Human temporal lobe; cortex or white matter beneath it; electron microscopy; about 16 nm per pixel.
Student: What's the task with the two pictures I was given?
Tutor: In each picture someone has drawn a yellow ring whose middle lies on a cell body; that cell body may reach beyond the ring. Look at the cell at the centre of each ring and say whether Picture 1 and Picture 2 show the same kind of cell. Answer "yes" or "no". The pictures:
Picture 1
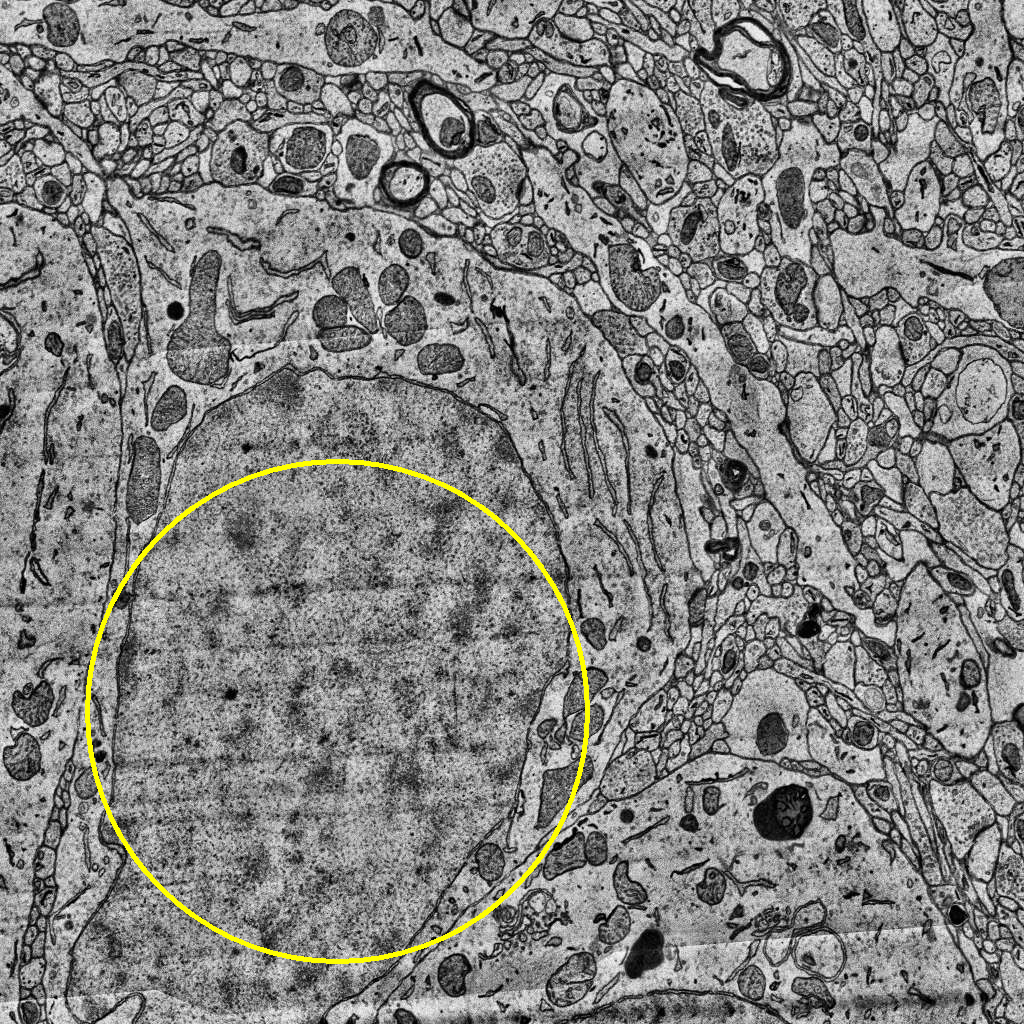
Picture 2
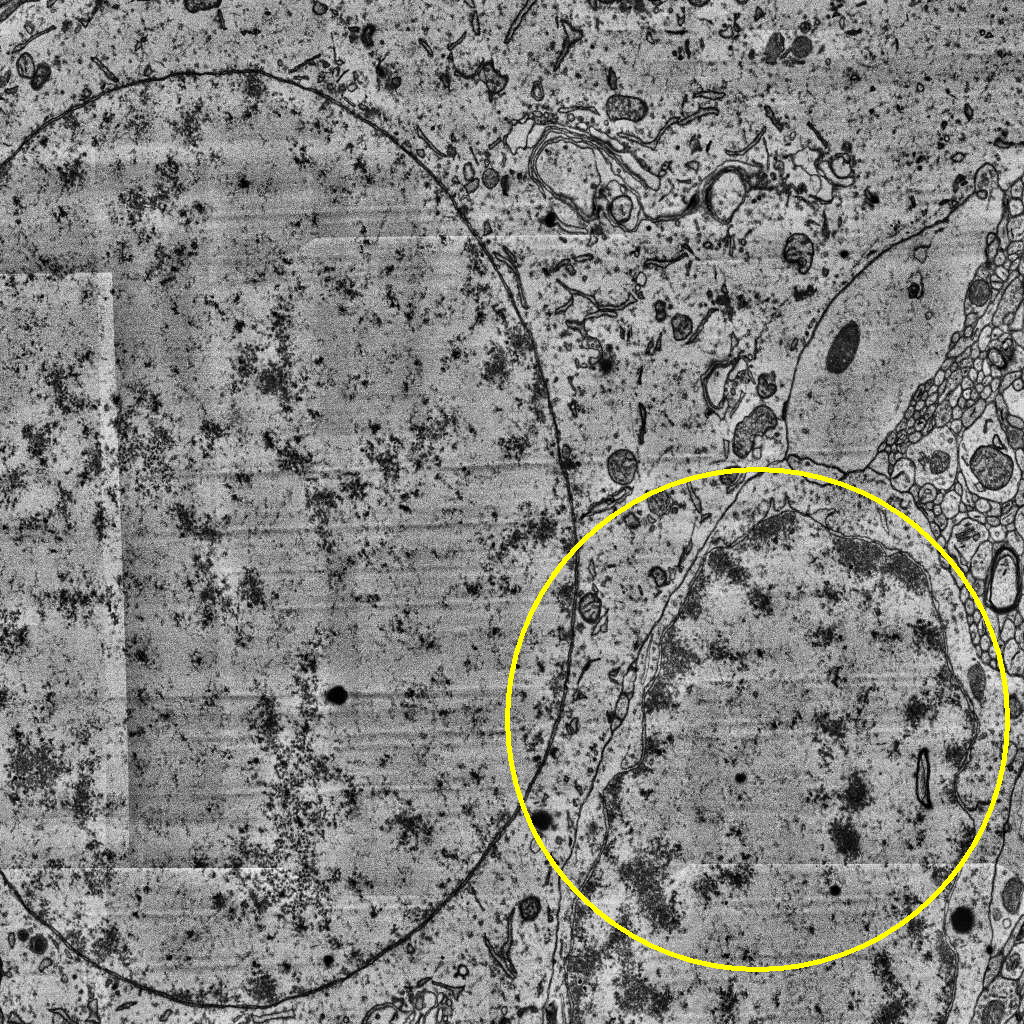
yes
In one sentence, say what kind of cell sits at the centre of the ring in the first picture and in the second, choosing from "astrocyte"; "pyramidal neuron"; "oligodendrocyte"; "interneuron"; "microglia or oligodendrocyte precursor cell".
Each cell at the centre of a ring is an interneuron.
